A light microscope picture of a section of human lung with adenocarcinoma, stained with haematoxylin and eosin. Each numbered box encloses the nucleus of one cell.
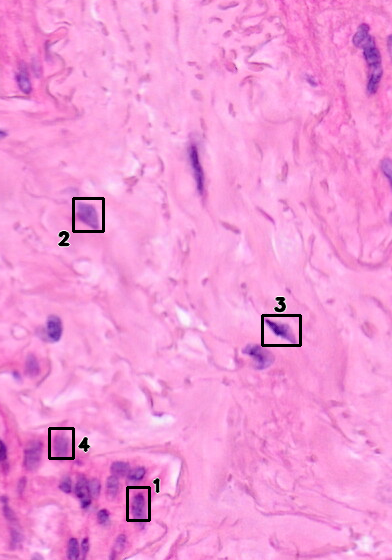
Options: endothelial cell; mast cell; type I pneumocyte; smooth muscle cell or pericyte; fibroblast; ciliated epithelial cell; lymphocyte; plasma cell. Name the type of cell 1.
smooth muscle cell or pericyte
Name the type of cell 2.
fibroblast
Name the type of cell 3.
fibroblast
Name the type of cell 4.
smooth muscle cell or pericyte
